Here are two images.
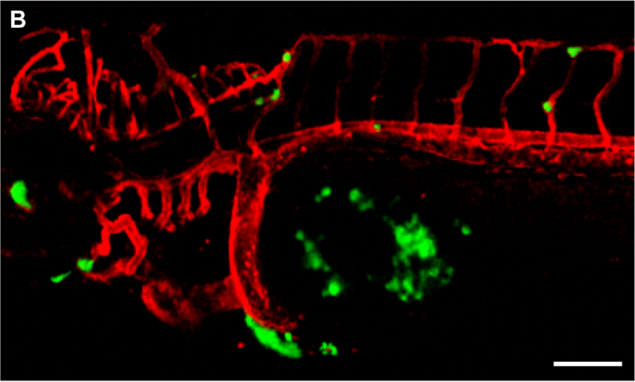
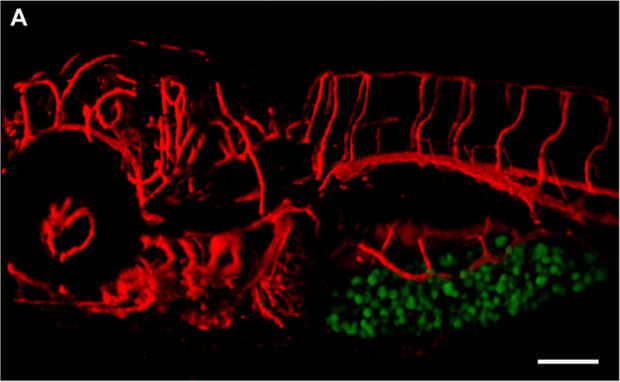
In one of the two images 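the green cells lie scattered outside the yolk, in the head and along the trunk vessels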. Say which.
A: the first image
